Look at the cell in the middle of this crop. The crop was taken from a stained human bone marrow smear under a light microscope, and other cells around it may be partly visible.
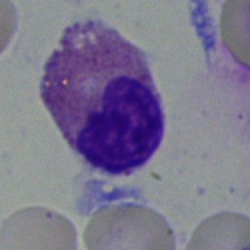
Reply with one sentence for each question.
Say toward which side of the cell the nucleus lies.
Seen from the middle of the cell, the nucleus lies toward the lower right.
